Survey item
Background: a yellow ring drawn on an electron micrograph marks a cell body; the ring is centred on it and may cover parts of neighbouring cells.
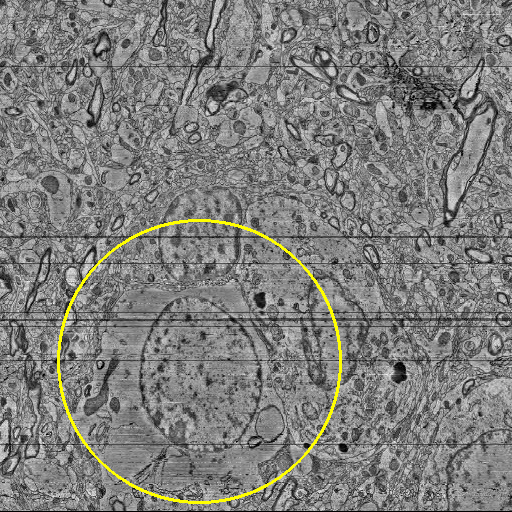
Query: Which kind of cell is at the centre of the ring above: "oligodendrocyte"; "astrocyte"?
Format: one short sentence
The cell in the middle of the ring is an astrocyte.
